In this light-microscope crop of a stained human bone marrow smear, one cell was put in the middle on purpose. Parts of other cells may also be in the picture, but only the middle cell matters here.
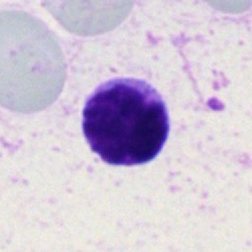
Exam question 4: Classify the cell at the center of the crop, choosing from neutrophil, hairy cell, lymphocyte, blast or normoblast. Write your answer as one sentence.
The central cell shown in this smear crop is a lymphocyte.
